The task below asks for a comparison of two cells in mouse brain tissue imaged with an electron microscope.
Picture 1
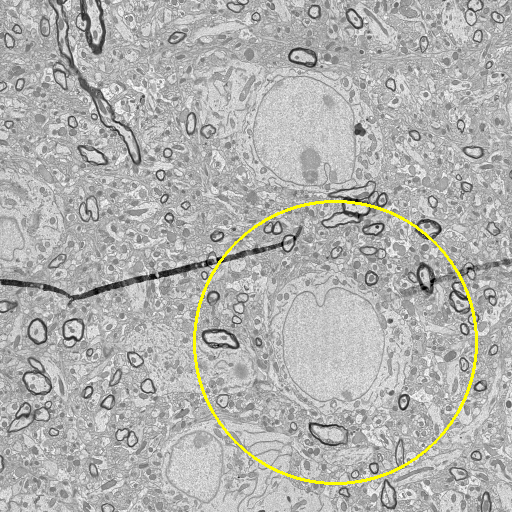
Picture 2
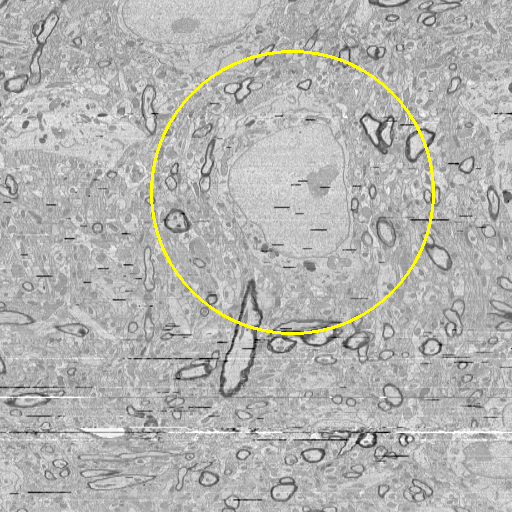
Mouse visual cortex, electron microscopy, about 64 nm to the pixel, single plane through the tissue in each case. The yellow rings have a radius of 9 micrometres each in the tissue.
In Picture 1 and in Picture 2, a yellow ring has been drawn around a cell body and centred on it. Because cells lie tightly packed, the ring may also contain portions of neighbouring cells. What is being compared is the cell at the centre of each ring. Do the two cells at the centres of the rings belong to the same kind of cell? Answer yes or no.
yes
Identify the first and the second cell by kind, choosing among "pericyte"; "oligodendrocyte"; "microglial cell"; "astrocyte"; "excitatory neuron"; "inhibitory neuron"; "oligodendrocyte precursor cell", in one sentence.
Each of the two cells is an excitatory neuron.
